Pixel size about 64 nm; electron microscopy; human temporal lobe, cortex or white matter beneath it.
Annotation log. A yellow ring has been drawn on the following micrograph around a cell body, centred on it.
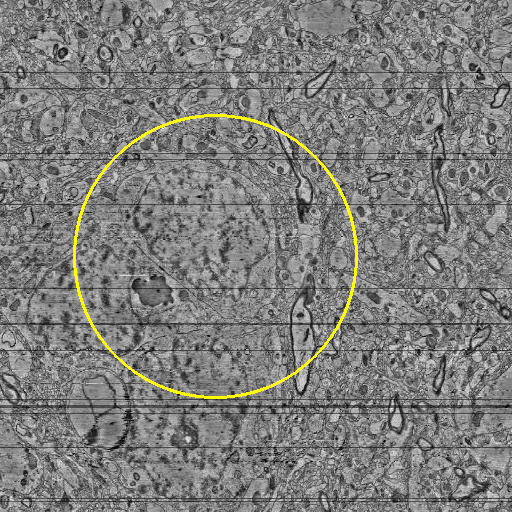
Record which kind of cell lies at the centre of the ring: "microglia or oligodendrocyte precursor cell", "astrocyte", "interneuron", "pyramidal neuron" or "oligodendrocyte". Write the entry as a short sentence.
The cell the ring is centred on is an interneuron.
